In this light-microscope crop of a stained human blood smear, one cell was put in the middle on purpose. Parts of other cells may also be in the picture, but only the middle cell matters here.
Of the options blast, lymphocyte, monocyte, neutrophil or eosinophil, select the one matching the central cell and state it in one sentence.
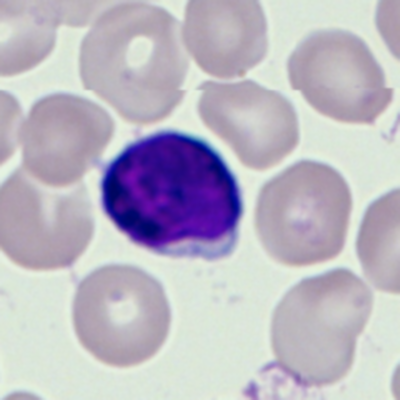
This crop has a lymphocyte at its centre.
